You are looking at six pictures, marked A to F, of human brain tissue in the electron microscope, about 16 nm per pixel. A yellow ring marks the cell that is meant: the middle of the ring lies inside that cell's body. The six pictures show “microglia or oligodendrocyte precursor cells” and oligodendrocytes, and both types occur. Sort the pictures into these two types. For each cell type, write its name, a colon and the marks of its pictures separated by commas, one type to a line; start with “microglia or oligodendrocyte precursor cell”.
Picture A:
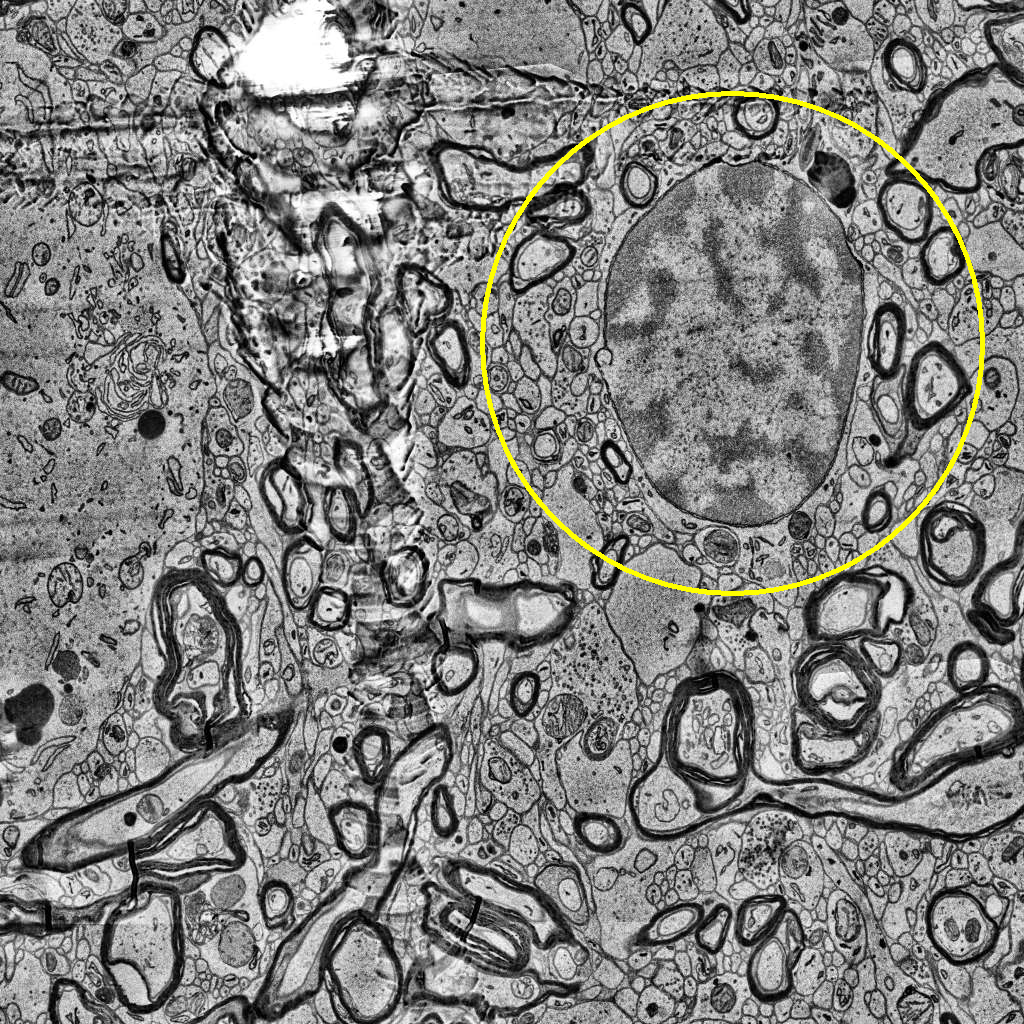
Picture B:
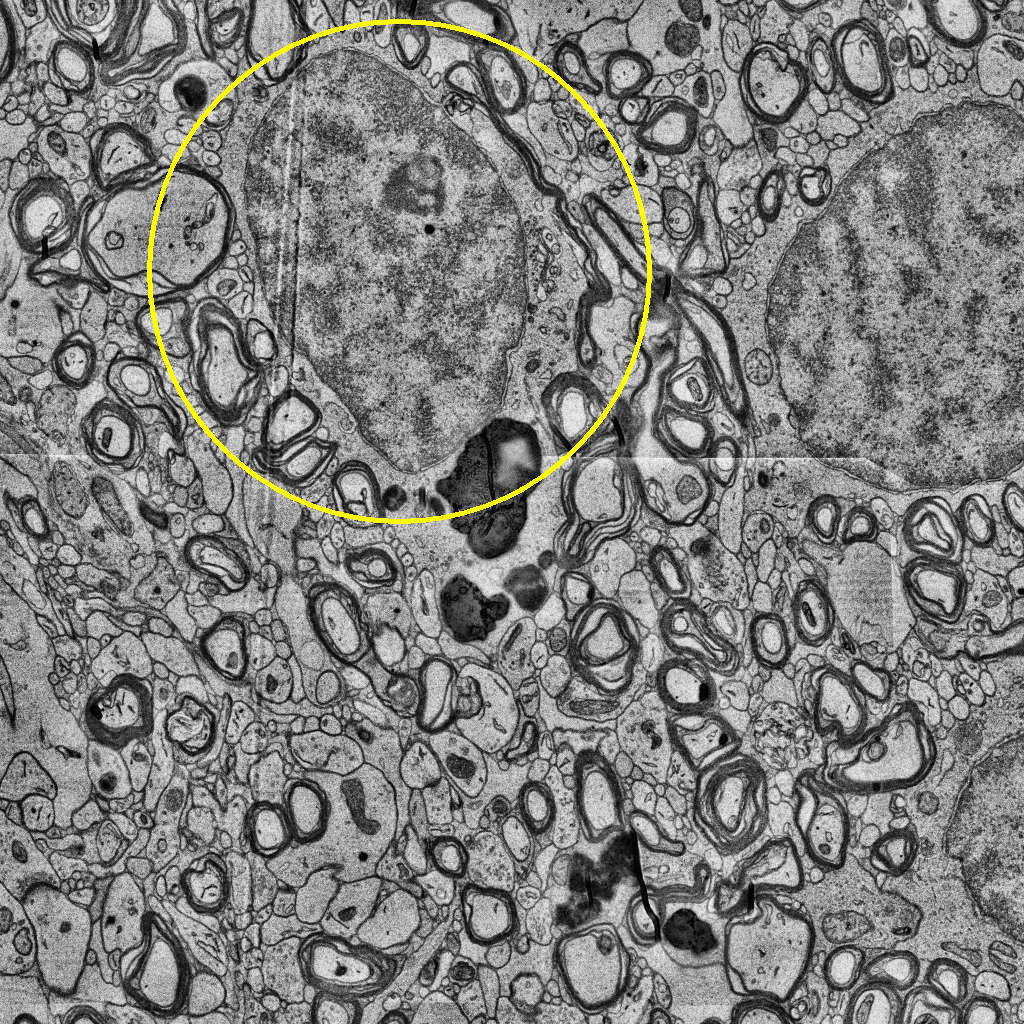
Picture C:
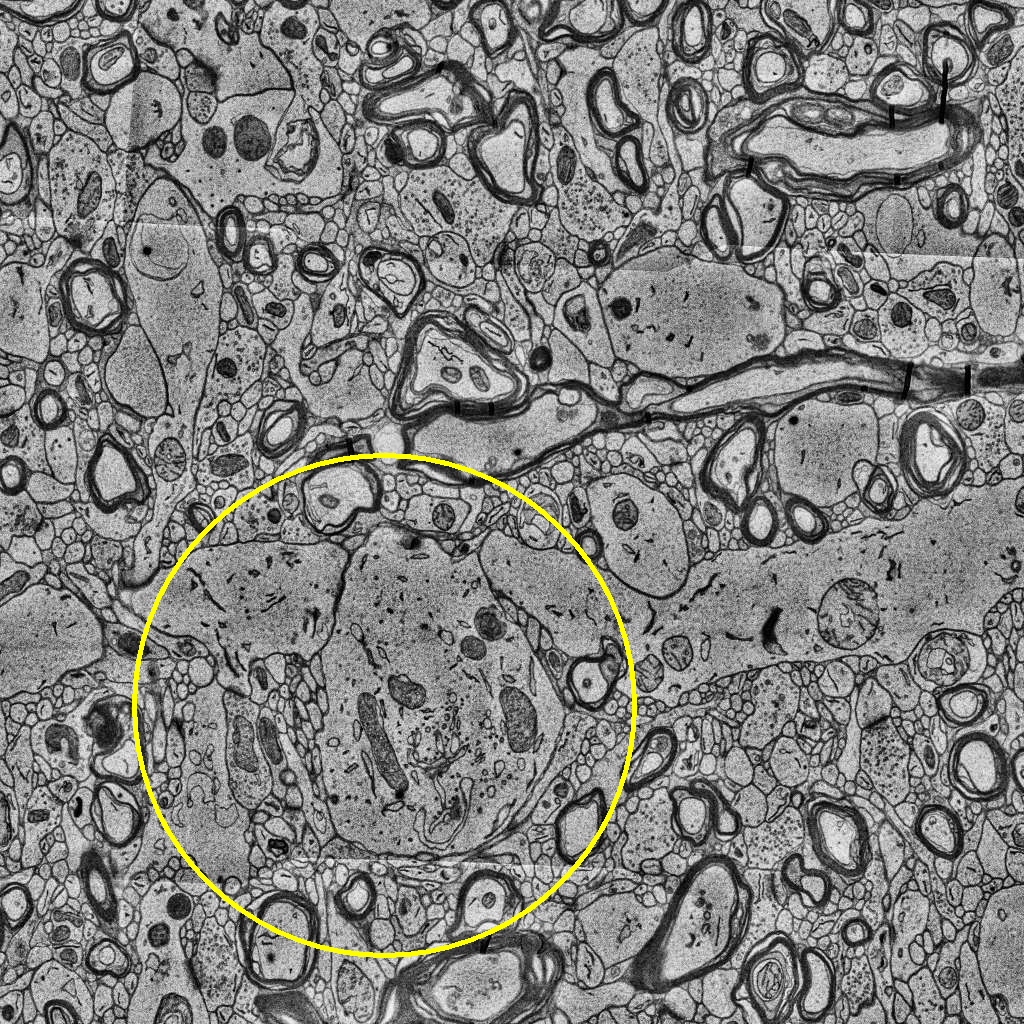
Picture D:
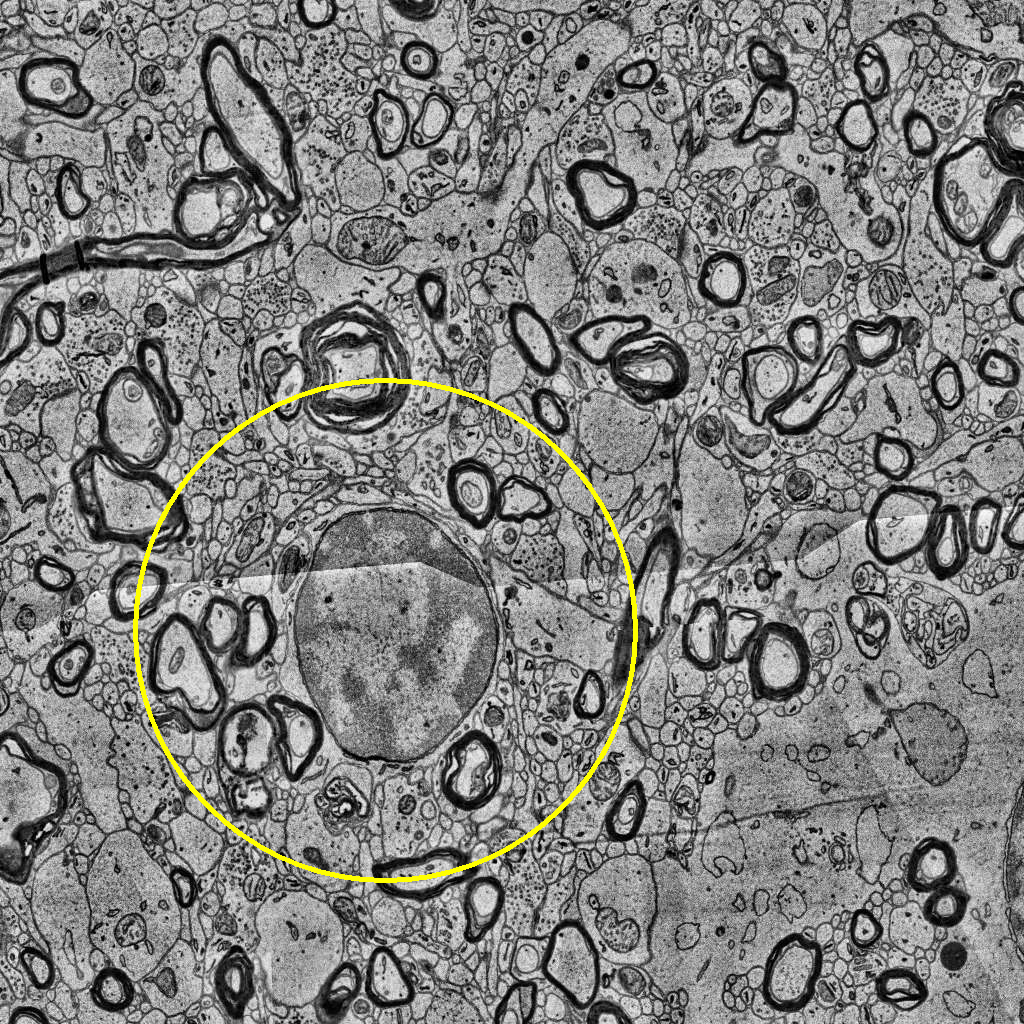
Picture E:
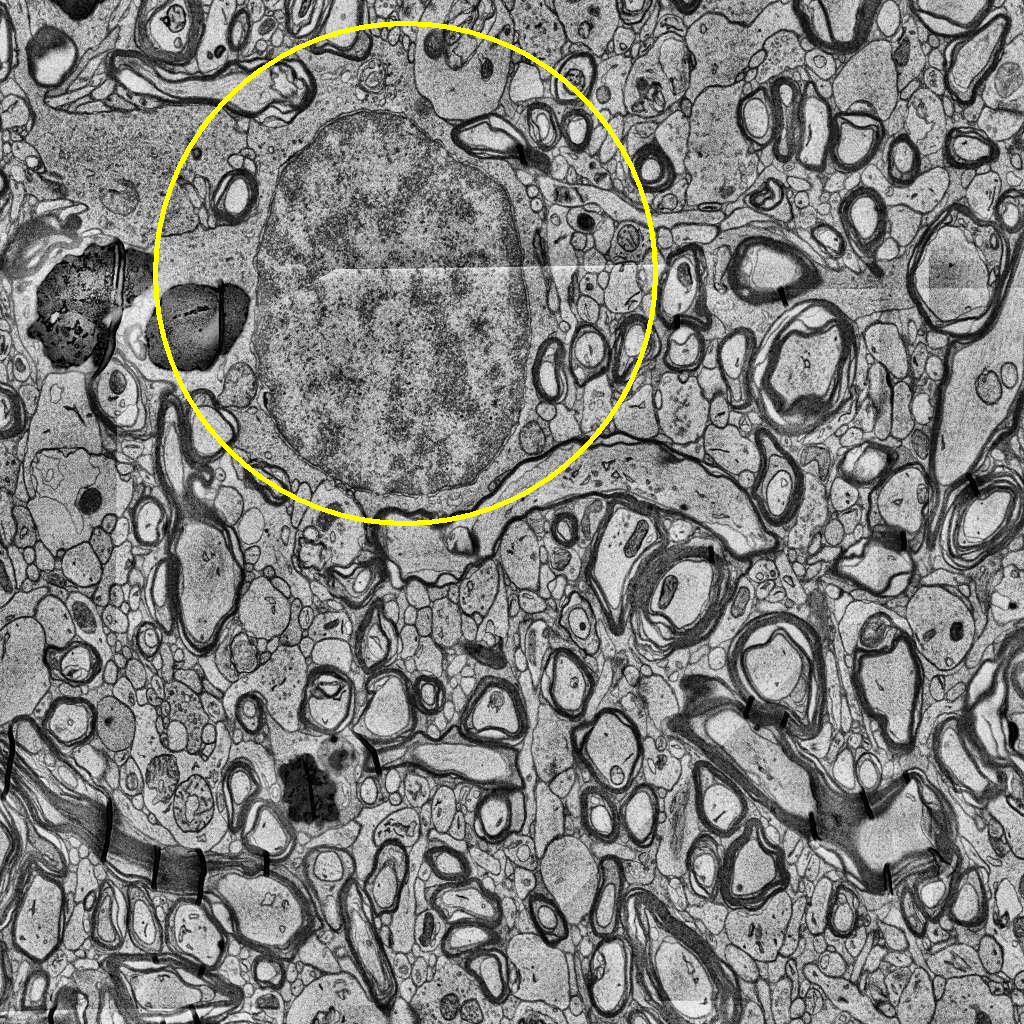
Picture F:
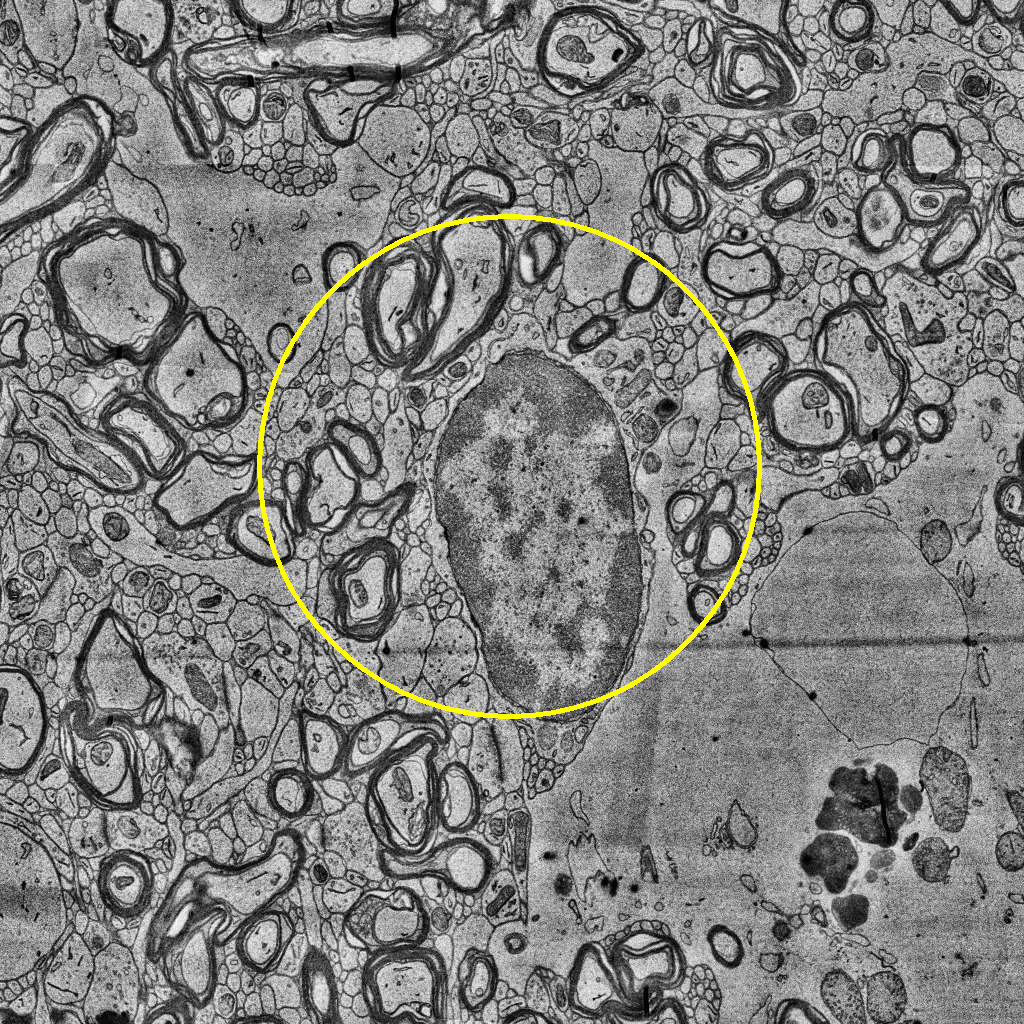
microglia or oligodendrocyte precursor cell: A, C, D, F
oligodendrocyte: B, E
